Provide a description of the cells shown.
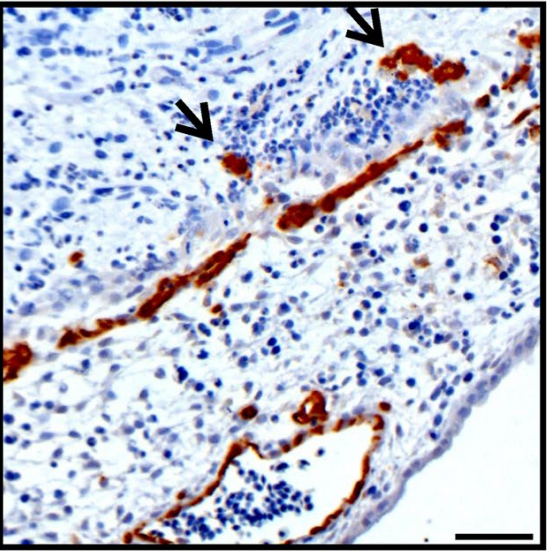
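Loose stroma with vessels whose walls are stained brown, set among scattered blue nuclei. A long, narrow brown-lined channel runs diagonally across the field. A wider brown-lined vessel at the bottom holds a cluster of blue nuclei in its lumen. Small brown clumps lie in a denser cellular area at the top.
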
